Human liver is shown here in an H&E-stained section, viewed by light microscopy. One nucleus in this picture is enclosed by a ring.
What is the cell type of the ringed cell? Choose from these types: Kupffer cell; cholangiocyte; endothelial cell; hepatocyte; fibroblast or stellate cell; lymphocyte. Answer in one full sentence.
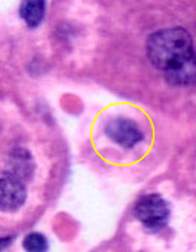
In the stained section, the ringed cell is a Kupffer cell.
